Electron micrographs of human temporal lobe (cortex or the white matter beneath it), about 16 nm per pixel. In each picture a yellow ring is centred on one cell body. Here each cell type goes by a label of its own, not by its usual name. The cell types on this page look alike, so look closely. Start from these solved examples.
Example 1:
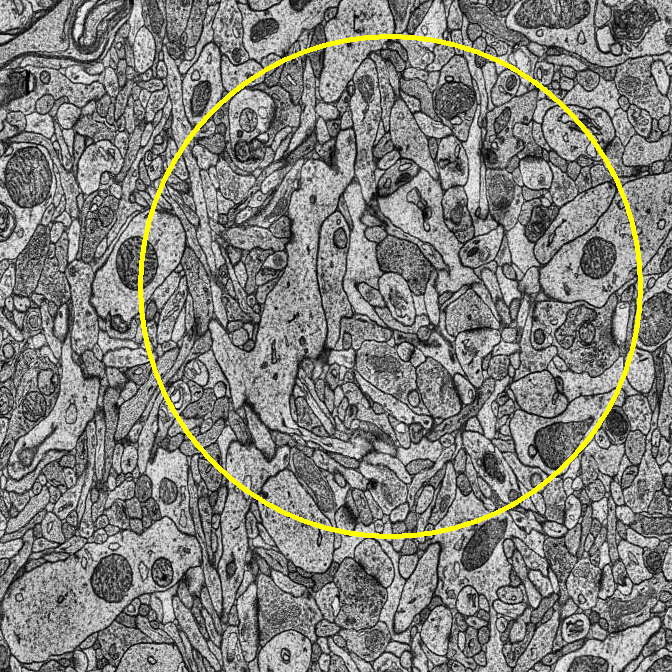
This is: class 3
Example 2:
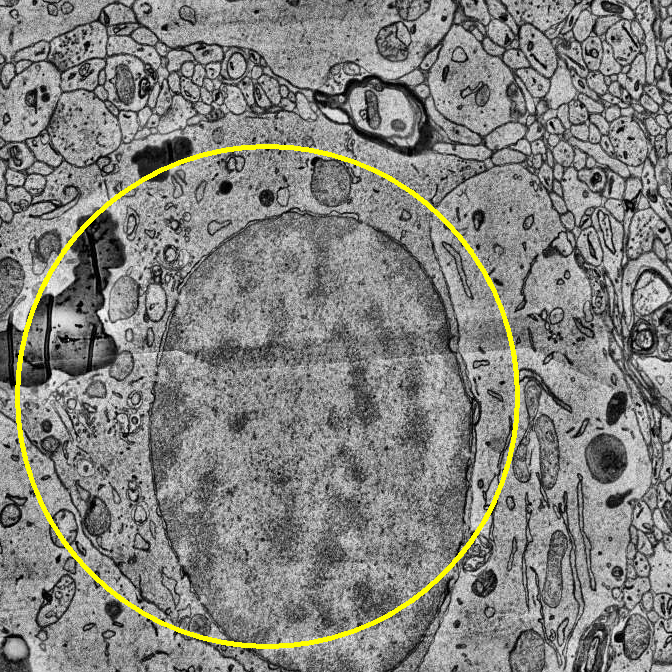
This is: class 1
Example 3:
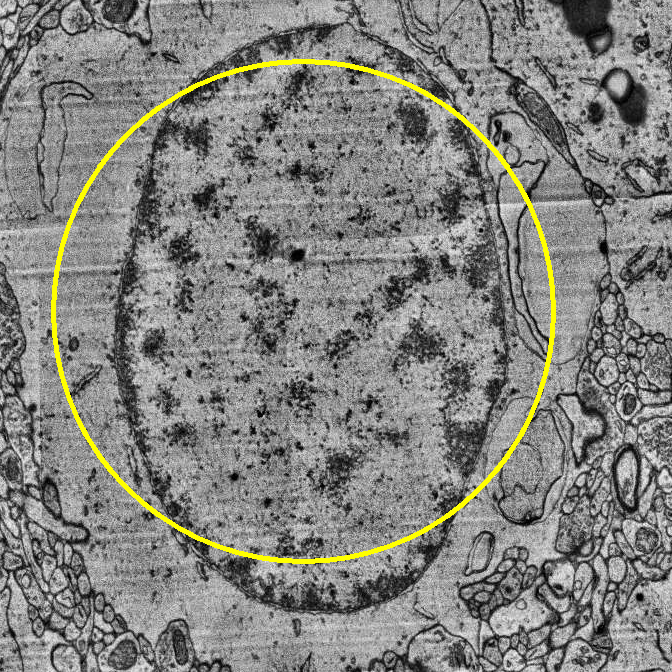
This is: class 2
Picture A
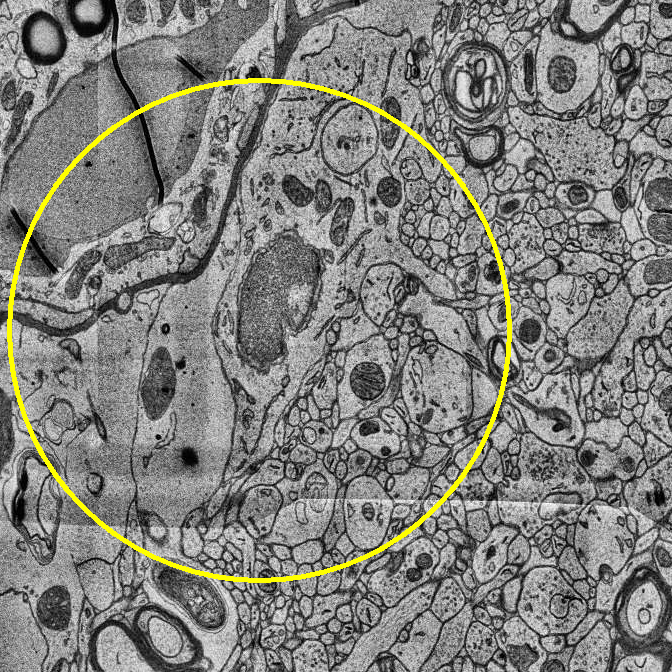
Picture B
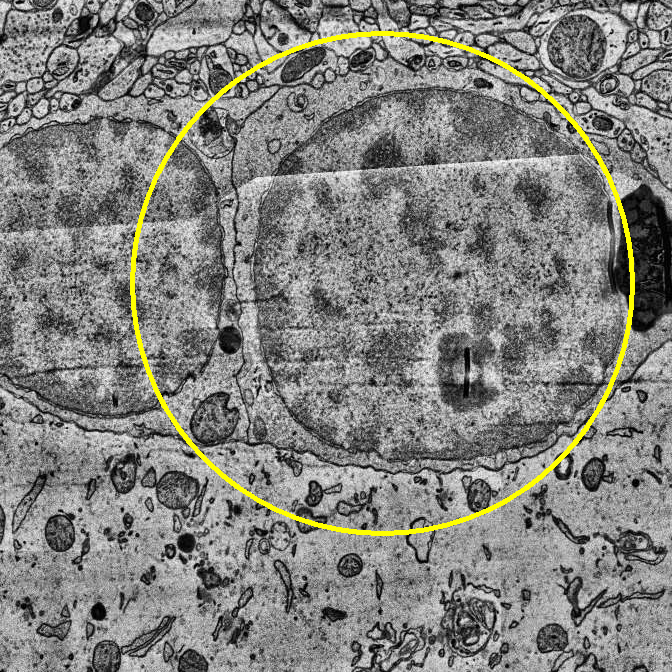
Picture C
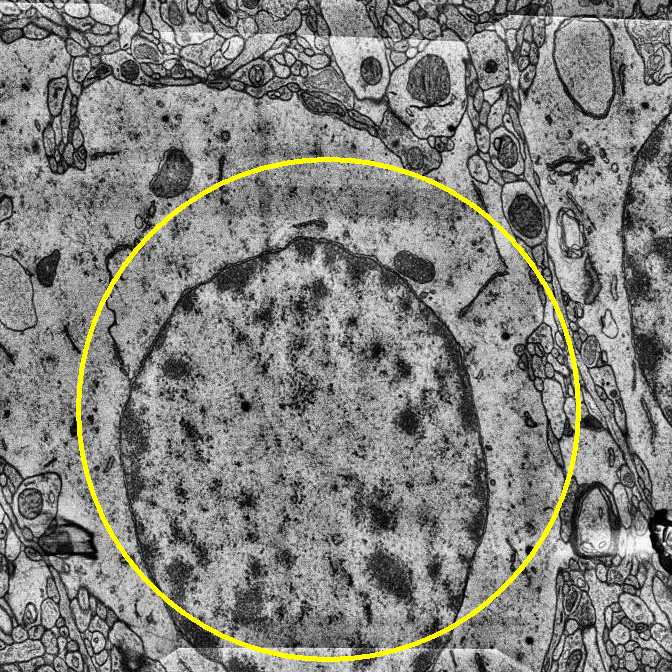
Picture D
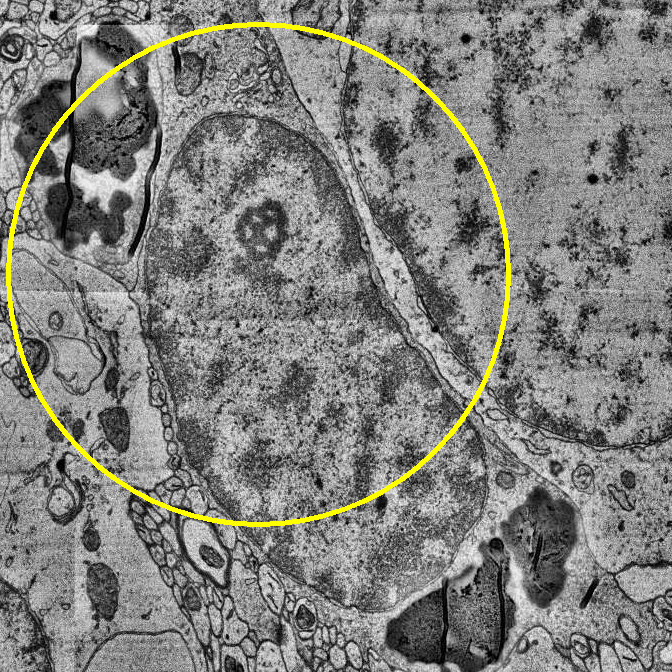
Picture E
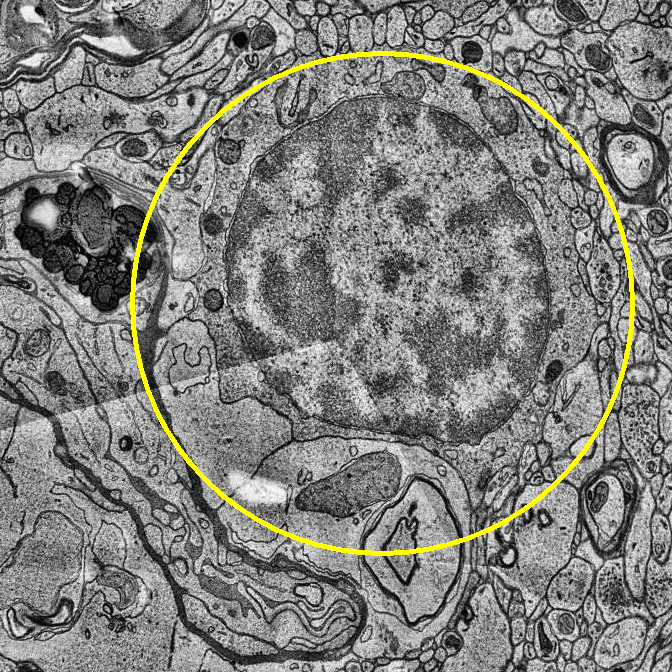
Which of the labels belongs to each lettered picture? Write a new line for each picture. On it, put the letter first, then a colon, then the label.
A: class 3
B: class 1
C: class 2
D: class 3
E: class 1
